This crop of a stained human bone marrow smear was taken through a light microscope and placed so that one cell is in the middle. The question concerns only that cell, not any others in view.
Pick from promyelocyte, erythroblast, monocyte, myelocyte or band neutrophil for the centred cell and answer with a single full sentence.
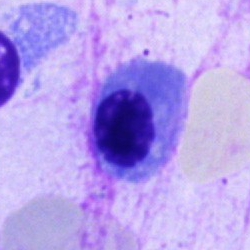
The cell nearest the centre of this crop is an erythroblast.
